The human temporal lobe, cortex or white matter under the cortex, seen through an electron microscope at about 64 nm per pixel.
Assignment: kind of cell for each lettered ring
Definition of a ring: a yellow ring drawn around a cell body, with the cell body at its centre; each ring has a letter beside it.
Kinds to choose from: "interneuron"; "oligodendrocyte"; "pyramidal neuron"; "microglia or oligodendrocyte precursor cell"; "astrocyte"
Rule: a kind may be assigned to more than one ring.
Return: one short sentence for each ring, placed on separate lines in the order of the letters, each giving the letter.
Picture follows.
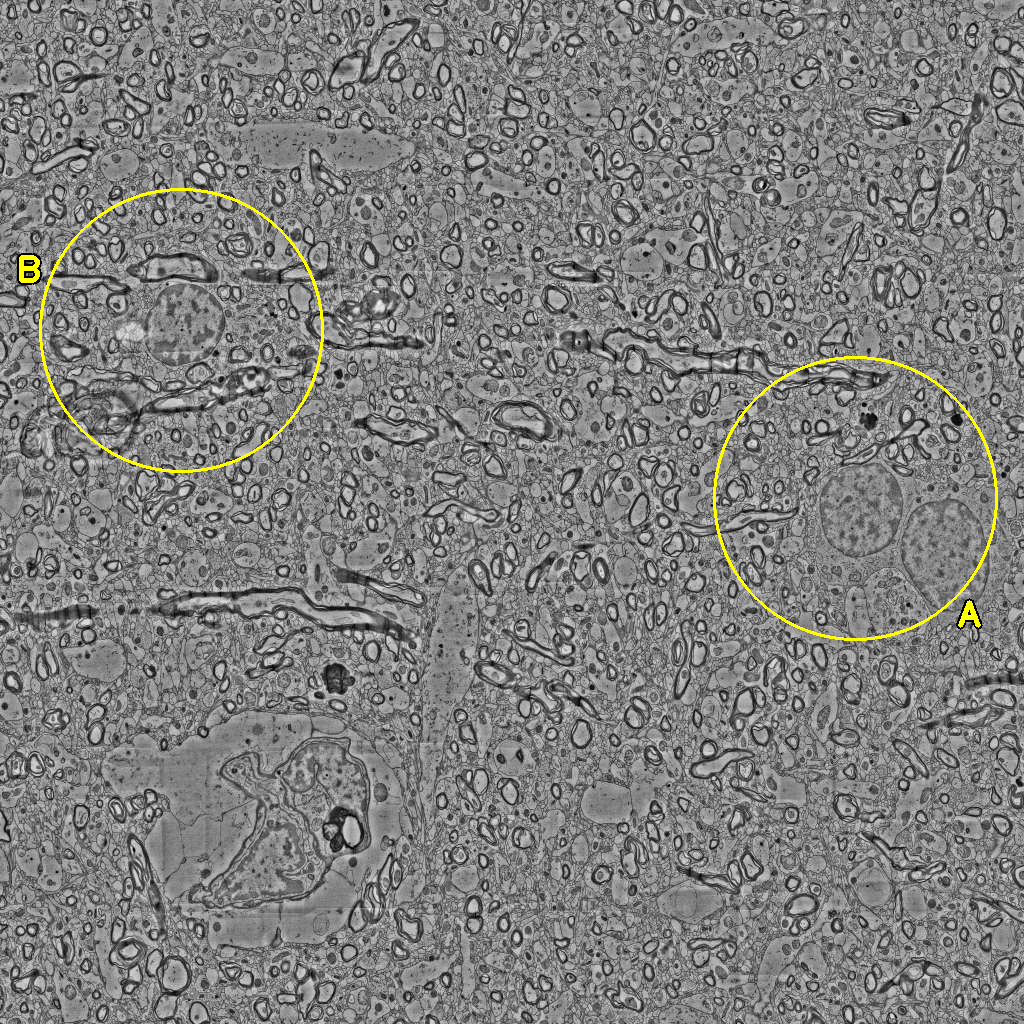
The ring marked A is centred on an oligodendrocyte.
The ring marked B is centred on a microglial cell or oligodendrocyte precursor cell.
